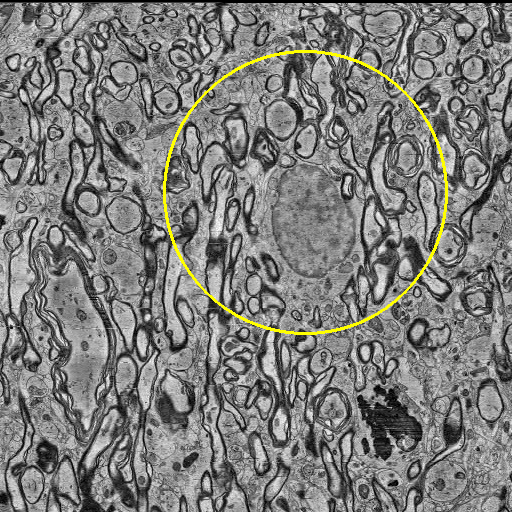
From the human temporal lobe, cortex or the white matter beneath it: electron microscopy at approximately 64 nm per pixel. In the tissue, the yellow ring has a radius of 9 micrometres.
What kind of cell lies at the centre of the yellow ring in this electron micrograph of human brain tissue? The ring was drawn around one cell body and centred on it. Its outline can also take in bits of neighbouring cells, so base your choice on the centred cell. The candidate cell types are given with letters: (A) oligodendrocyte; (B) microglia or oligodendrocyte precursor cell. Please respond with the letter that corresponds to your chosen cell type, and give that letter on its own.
A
